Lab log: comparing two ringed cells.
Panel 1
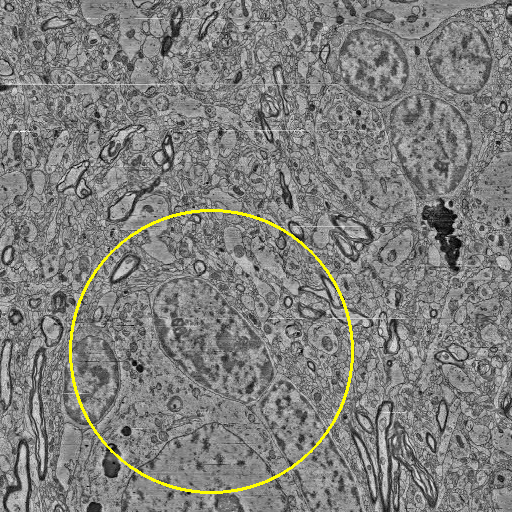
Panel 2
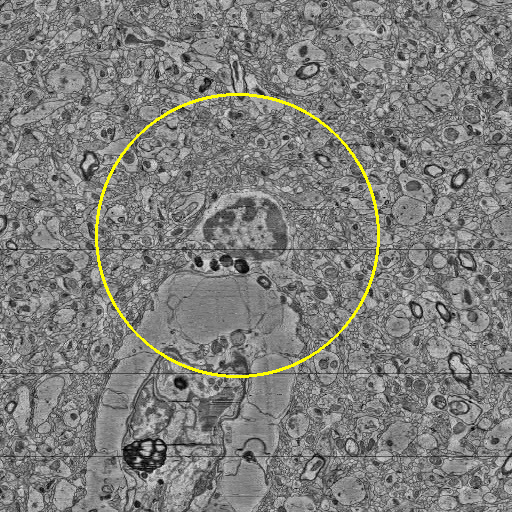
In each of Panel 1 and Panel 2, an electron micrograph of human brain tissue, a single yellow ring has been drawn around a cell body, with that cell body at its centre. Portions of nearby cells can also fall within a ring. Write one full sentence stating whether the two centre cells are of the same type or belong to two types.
The cells at the ring centres in Panel 1 and Panel 2 are of the same type.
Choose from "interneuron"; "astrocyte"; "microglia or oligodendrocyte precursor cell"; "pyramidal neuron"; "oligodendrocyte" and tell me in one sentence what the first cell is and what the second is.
Each one of the two ringed cells is a microglial cell or oligodendrocyte precursor cell.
